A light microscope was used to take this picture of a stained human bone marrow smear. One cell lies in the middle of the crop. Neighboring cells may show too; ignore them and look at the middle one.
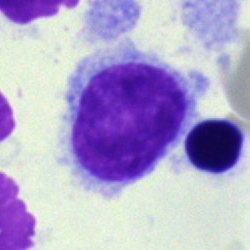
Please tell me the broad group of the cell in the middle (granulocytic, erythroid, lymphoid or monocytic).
lymphoid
